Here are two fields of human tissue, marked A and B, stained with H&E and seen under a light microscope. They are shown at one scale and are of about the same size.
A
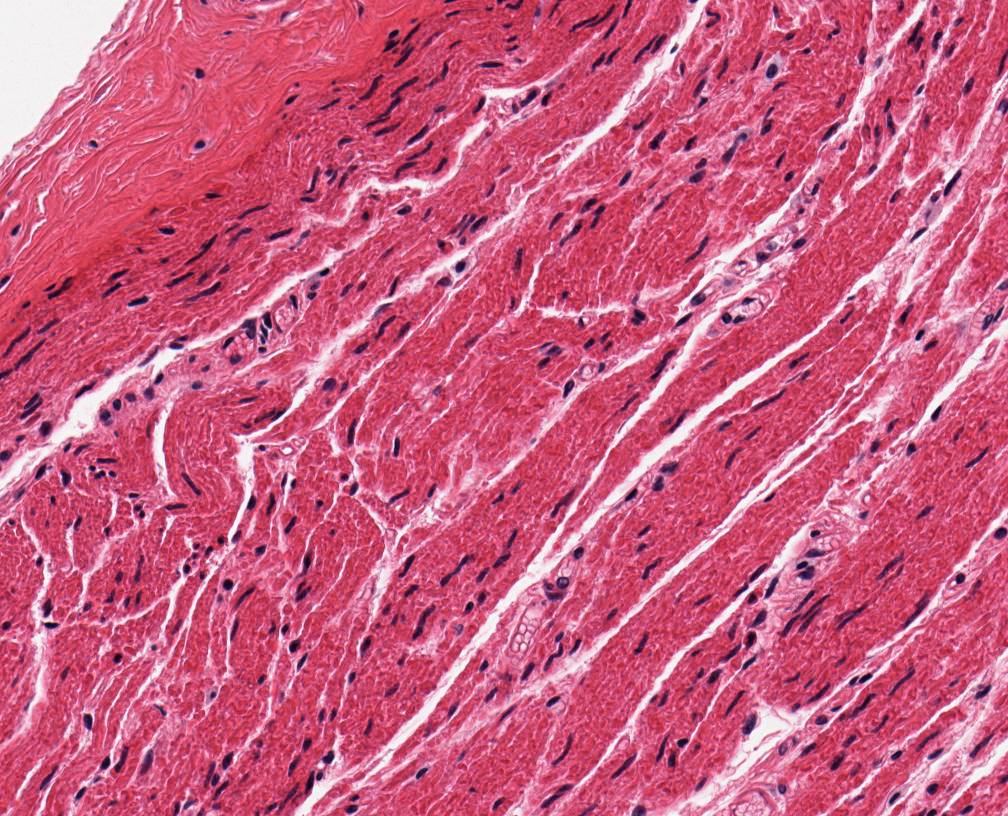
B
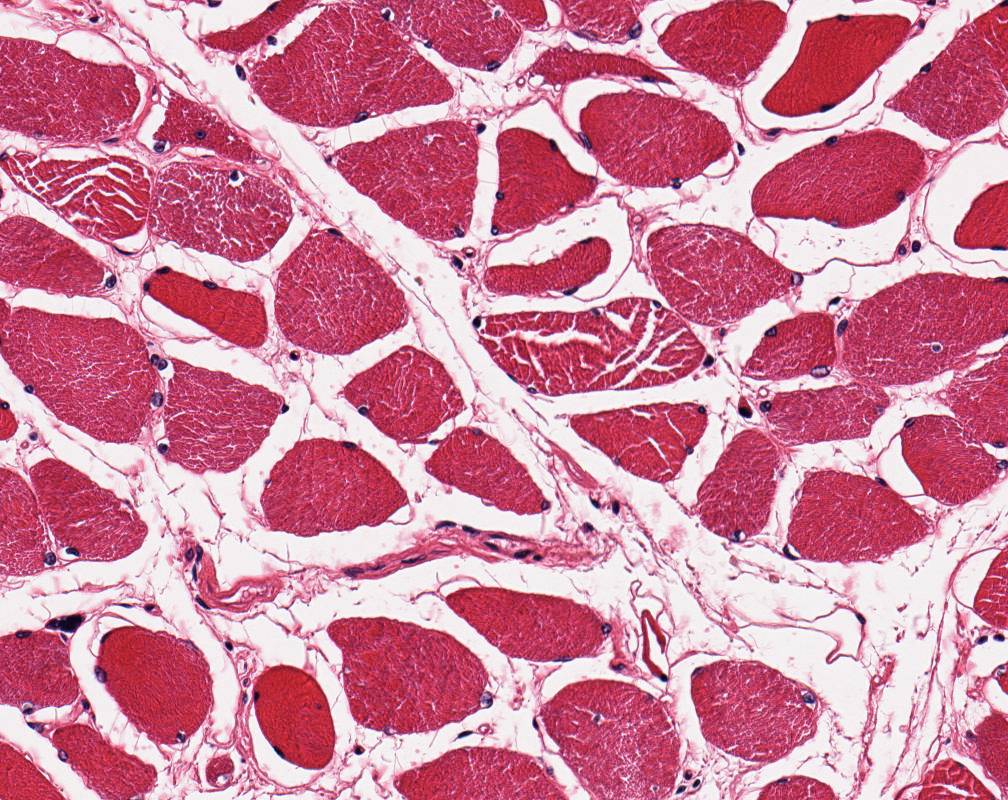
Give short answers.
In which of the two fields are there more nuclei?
A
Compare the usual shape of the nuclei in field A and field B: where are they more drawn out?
A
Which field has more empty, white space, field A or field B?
B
